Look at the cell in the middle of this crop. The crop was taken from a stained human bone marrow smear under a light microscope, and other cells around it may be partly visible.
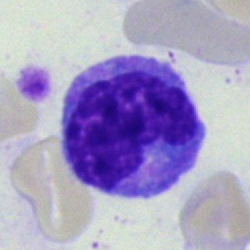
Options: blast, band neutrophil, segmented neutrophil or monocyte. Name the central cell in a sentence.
In the middle of this smear crop is a monocyte.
